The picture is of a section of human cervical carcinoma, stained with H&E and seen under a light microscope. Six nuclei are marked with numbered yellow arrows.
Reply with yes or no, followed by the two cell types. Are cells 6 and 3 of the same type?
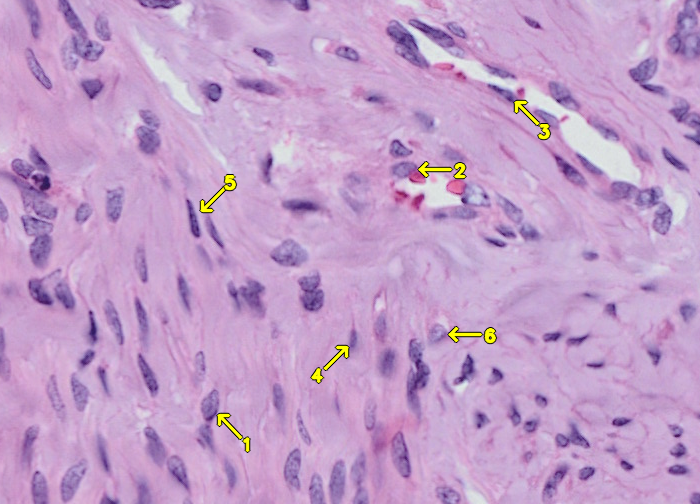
Yes, cells 6 and 3 are both endothelial cells and thus of one type.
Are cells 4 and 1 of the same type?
Yes, within the numbered set, cells 4 and 1 are both fibroblasts.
